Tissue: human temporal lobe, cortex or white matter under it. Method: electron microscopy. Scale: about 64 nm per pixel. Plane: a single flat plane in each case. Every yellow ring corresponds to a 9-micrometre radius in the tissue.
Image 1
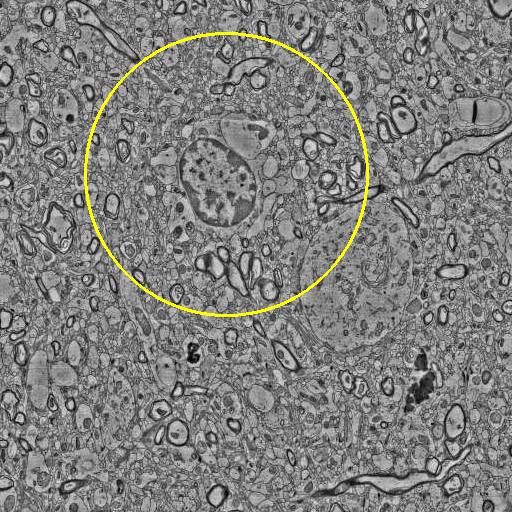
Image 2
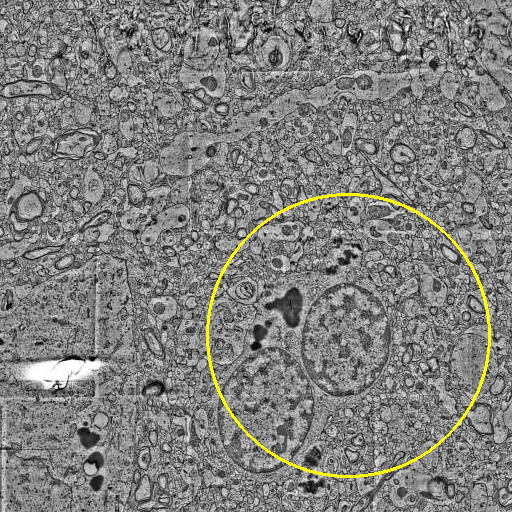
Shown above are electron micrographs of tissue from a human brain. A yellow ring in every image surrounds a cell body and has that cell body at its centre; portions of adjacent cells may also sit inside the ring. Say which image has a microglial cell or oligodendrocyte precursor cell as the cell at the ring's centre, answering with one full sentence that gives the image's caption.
The image whose ring is centred on the requested cell is Image 1.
